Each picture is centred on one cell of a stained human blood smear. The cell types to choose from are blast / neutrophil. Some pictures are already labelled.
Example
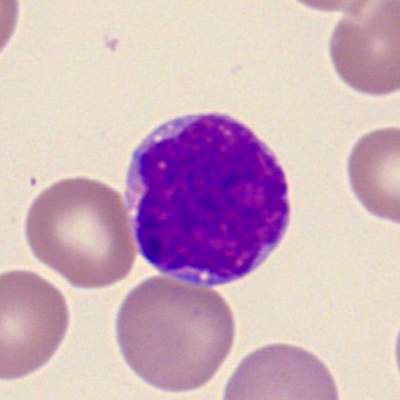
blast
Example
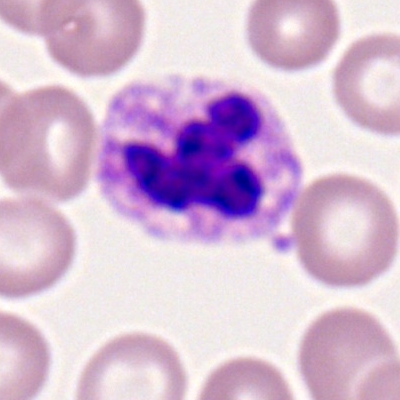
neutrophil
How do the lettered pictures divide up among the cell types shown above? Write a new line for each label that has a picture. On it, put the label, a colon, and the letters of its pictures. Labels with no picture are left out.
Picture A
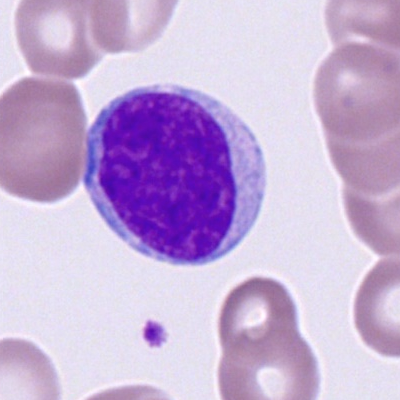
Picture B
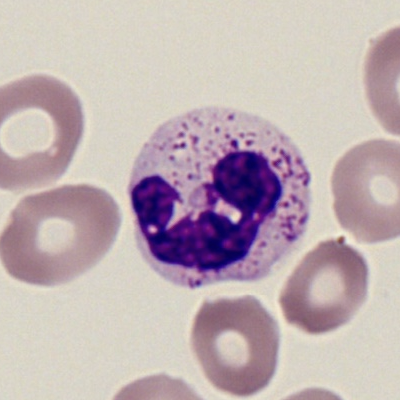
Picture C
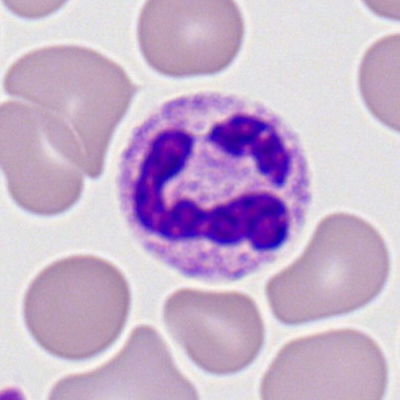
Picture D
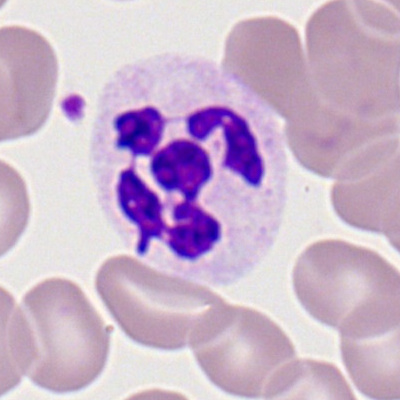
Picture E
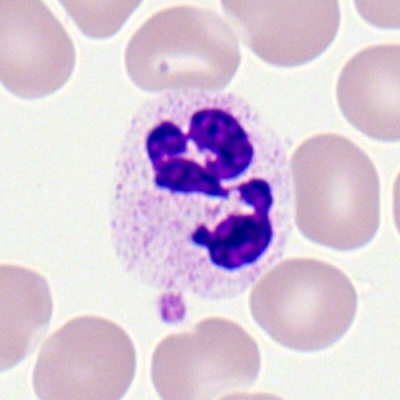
blast: A
neutrophil: B, C, D, E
